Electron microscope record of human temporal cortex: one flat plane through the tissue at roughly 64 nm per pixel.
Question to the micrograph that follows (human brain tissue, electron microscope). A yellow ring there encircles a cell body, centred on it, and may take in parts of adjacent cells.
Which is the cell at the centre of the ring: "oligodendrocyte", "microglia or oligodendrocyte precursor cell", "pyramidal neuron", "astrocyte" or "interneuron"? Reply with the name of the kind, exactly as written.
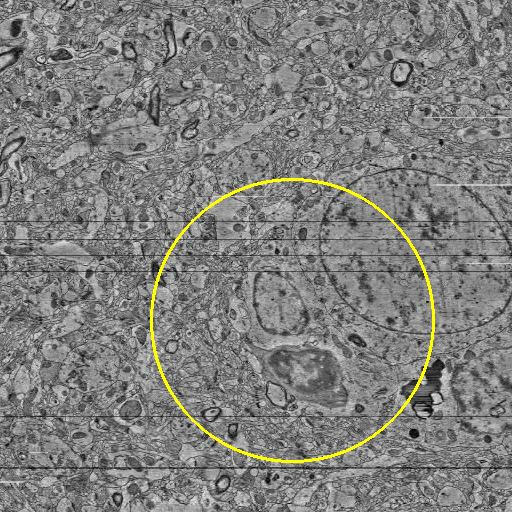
microglia or oligodendrocyte precursor cell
